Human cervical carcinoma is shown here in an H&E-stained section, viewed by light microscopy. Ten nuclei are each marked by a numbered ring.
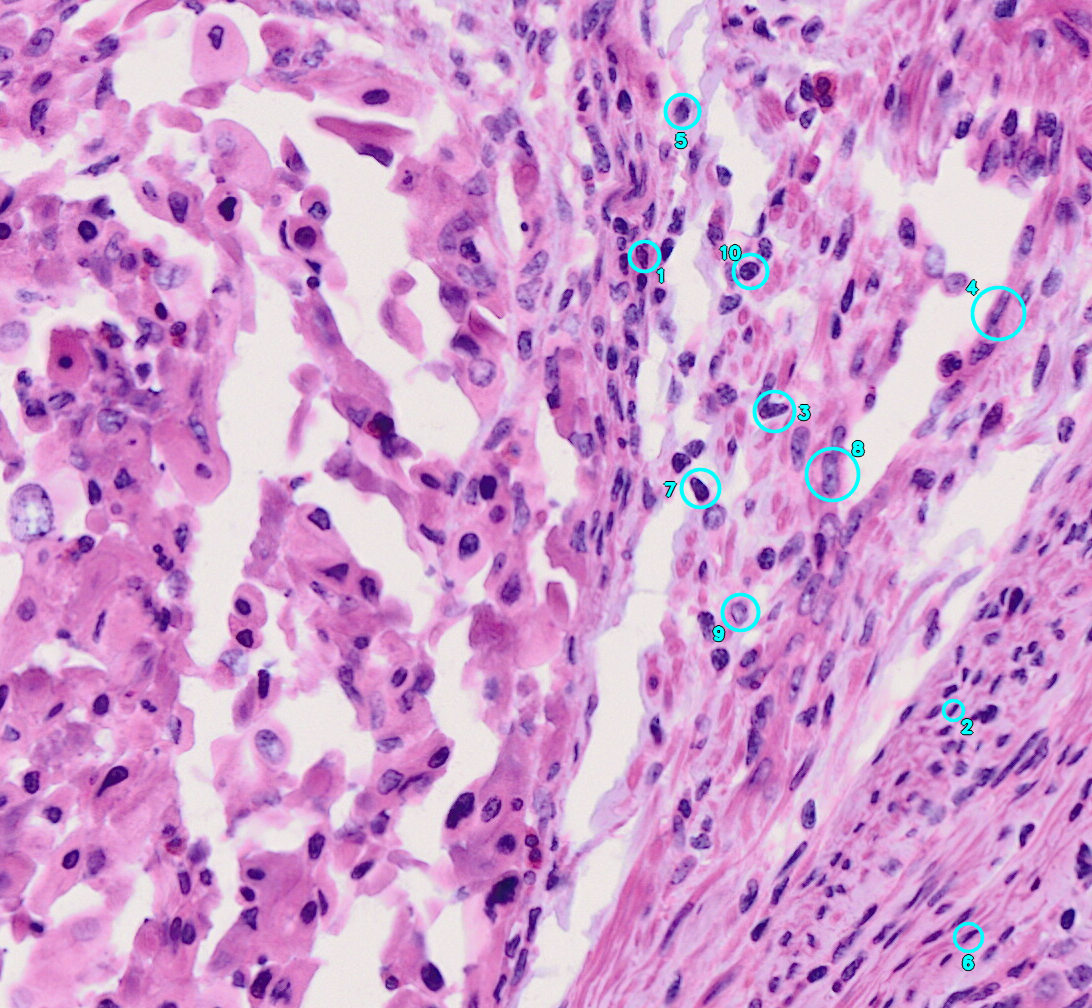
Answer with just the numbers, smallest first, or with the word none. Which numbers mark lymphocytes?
1, 3, 5, 7, 10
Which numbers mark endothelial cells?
4, 8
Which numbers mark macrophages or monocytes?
9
